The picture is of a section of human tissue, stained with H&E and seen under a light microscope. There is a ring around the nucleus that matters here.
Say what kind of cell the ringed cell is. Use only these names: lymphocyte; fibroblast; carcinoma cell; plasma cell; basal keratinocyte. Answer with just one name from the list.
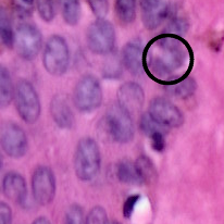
basal keratinocyte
